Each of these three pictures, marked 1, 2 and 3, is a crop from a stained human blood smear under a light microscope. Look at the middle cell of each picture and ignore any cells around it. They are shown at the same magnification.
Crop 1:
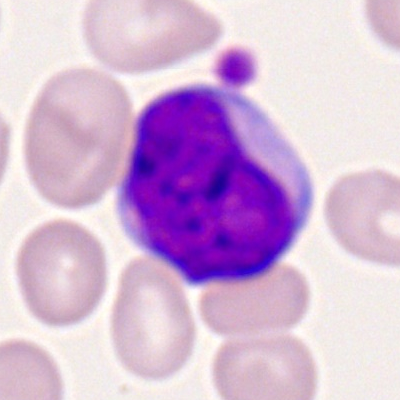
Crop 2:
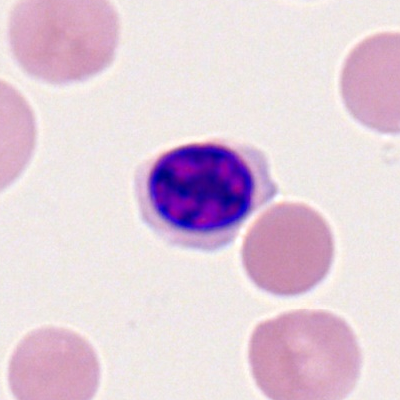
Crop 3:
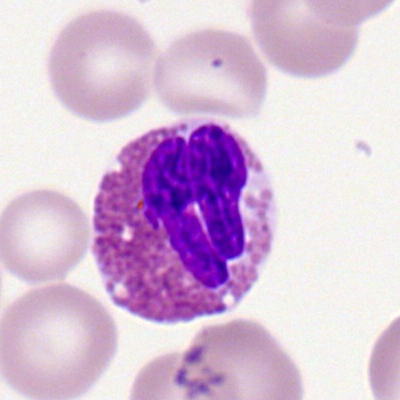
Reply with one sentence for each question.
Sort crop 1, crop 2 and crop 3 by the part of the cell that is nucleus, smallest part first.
The least filled comes first: 3, 2, 1.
